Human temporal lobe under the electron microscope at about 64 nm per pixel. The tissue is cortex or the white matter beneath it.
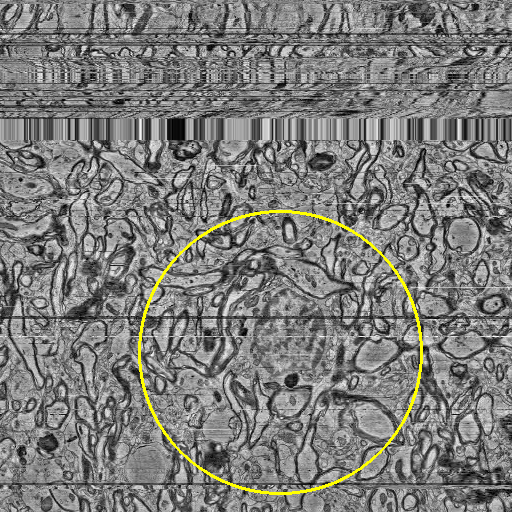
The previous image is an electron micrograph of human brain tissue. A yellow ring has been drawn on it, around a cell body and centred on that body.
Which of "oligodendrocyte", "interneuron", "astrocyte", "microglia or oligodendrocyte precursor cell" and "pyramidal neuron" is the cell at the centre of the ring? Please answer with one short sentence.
The cell body at the centre of the ring belongs to an oligodendrocyte.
